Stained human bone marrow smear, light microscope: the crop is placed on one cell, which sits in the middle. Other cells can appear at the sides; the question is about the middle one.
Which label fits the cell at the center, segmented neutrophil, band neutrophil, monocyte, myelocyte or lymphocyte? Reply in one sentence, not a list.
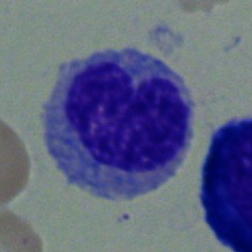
The cell at the central position in this crop is a monocyte.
